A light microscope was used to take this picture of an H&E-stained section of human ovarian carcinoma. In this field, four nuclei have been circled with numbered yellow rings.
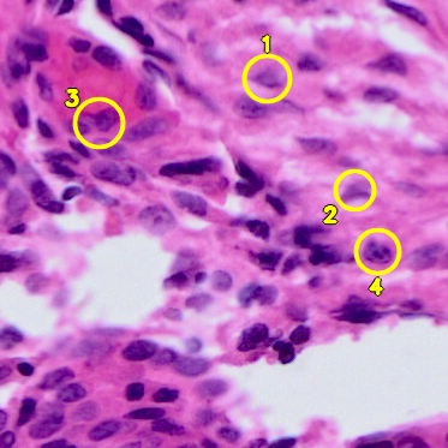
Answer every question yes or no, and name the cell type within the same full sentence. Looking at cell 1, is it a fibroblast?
Yes, it is a fibroblast that carries the number 1.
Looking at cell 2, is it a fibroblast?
Yes, number 2 marks a cell that is a fibroblast.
